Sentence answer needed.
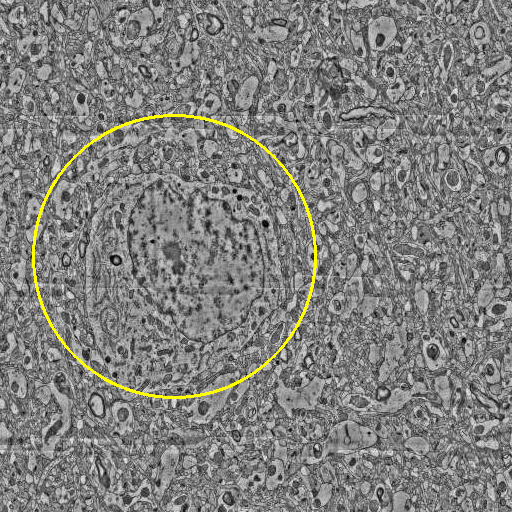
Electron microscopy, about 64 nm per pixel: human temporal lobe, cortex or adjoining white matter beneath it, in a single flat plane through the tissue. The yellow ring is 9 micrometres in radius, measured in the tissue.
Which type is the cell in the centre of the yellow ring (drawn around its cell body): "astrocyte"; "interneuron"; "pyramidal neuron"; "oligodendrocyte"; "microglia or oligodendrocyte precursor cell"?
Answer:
In the centre of the yellow ring is an interneuron.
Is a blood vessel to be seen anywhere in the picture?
No, no vessel appears in the picture.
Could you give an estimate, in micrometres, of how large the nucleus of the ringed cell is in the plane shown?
The nucleus works out at approximately 11 by 8 micrometres in this plane.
